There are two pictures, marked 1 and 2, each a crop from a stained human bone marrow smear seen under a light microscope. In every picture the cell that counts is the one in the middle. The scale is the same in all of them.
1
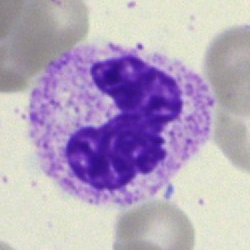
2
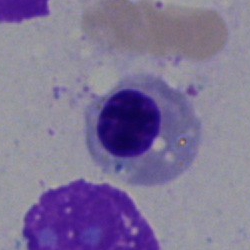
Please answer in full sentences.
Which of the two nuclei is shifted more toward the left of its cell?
It is the nucleus in crop 2 that lies further toward the left of its cell.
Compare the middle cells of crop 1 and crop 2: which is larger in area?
It is the cell in crop 1, about 2.5 times as large in area as the cell in crop 2.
